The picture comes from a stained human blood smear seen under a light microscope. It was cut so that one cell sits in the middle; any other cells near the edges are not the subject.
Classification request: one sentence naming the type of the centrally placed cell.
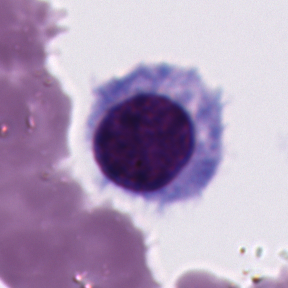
The cell positioned in the middle of the field is a hairy cell.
